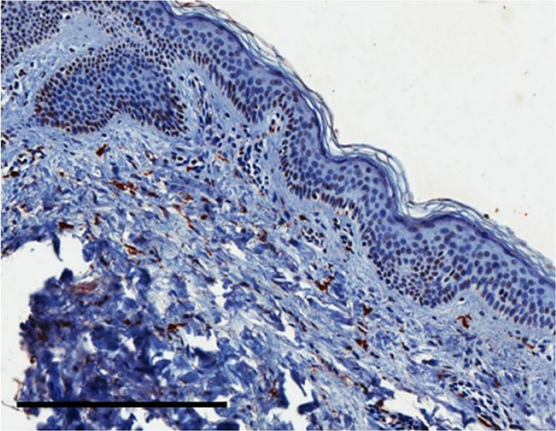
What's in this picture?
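This is a section of skin, with a stratified squamous epidermis along the top and dermis beneath it. The epidermis is many cells thick, with a thin, pale, flattened surface layer, and it dips down into the dermis in a rete ridge at the upper left. In the dermis below, loose connective tissue holds scattered elongated cells, and many of them are stained brown.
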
